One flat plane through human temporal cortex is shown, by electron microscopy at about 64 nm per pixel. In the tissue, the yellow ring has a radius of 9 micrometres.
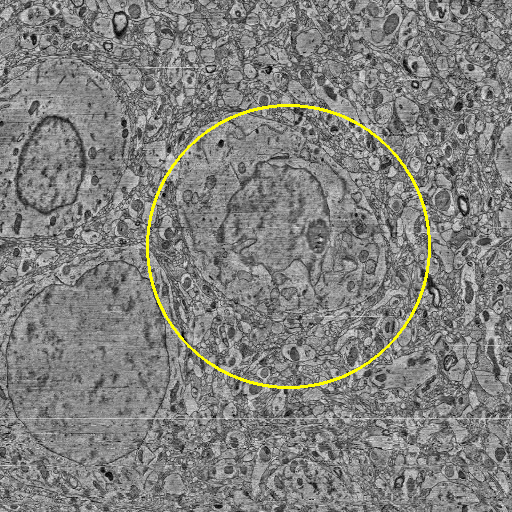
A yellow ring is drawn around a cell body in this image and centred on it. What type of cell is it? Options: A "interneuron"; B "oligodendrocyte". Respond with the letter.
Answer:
A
